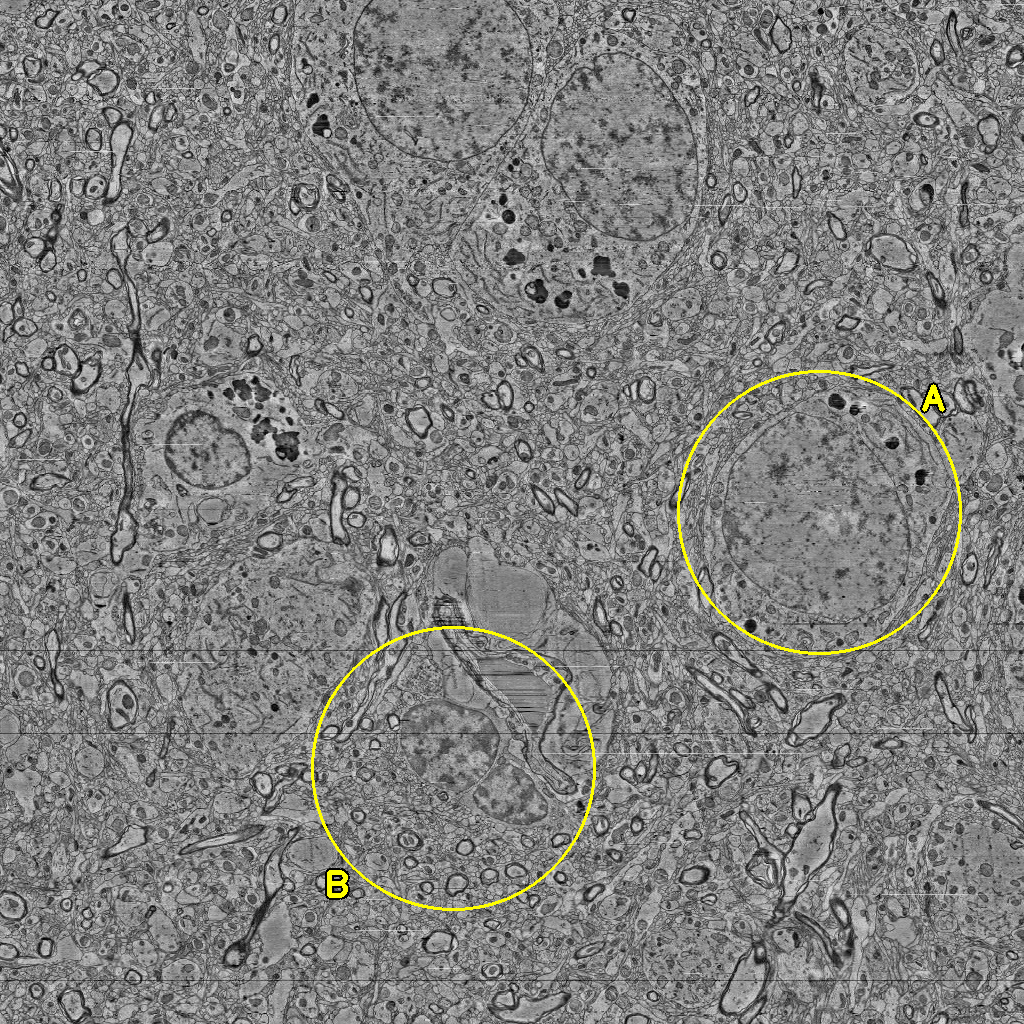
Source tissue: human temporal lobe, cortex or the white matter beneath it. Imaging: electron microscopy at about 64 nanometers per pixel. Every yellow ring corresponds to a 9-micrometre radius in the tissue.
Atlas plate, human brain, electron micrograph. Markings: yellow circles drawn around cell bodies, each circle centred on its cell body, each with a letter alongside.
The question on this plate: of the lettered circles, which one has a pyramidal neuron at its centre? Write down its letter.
A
